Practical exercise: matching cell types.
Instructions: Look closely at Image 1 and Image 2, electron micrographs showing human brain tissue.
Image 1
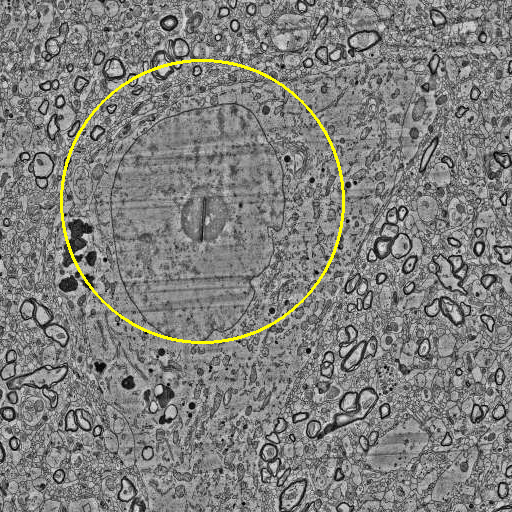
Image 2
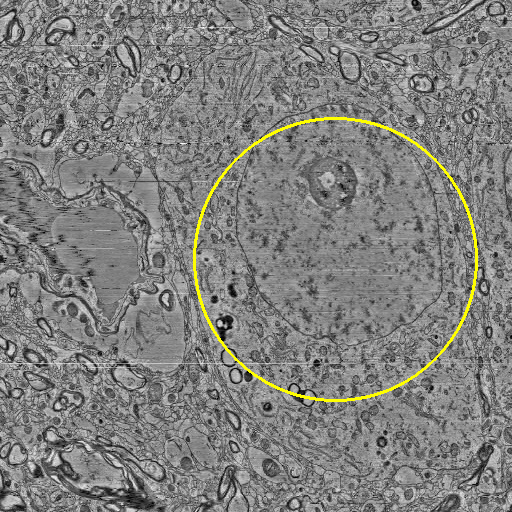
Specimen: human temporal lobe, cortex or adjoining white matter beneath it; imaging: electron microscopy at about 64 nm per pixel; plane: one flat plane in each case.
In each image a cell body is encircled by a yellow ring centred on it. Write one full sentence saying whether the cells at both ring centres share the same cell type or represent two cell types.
Across Image 1 and Image 2, the cells at the ring centres share the same cell type.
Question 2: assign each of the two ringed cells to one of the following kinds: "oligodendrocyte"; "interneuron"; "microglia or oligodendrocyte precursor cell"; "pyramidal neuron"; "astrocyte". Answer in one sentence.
Both the first and the second picture show a pyramidal neuron in the ring.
